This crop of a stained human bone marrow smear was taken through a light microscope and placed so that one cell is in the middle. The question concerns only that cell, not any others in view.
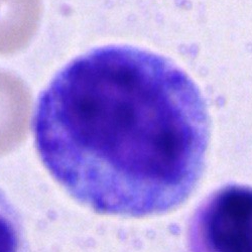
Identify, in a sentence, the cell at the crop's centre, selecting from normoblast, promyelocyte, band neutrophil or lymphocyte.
At the center of the crop sits a promyelocyte.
